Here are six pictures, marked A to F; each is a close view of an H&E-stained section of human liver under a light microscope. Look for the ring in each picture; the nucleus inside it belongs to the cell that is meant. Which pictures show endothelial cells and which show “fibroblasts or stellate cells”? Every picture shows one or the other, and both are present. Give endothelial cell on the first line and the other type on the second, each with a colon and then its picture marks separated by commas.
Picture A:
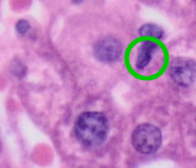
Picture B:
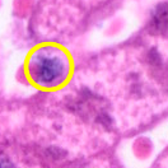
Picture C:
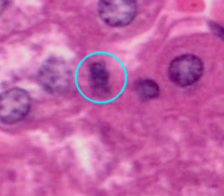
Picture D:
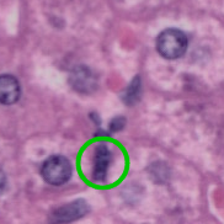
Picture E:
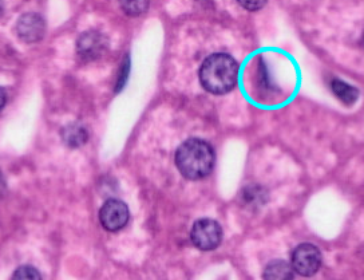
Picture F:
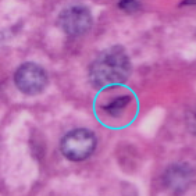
endothelial cell: B, E
fibroblast or stellate cell: A, C, D, F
